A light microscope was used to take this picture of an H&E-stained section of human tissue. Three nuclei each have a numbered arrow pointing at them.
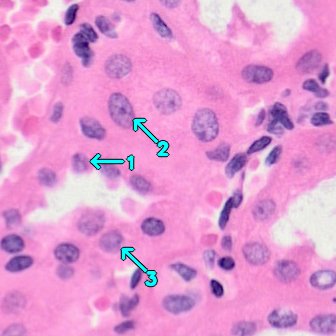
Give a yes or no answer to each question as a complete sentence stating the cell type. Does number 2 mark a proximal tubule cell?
Yes, the cell with number 2 is a proximal tubule cell.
